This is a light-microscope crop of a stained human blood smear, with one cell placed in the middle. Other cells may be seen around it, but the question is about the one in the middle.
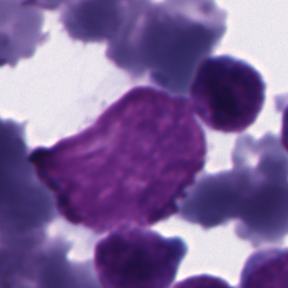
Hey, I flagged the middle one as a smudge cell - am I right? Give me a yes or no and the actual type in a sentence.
Yes, the cell centred in this crop is a smudge cell.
